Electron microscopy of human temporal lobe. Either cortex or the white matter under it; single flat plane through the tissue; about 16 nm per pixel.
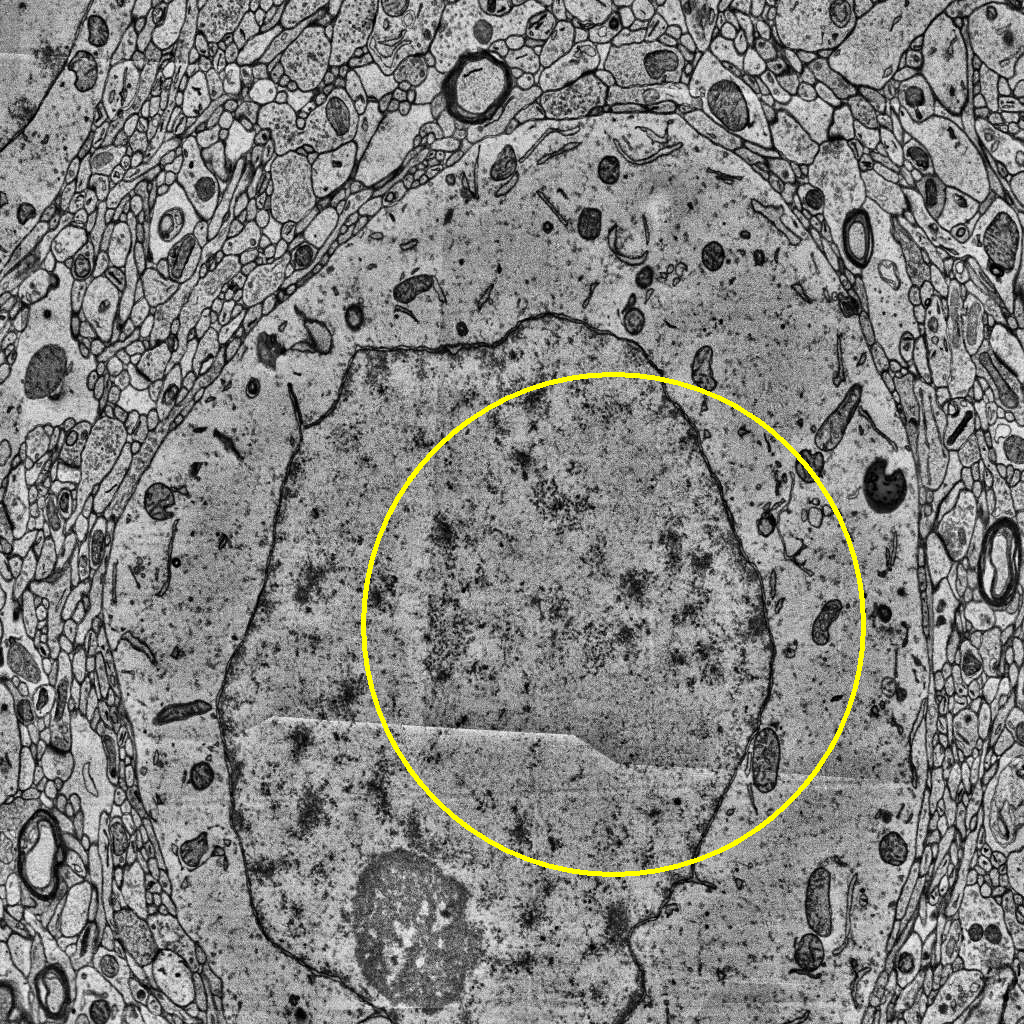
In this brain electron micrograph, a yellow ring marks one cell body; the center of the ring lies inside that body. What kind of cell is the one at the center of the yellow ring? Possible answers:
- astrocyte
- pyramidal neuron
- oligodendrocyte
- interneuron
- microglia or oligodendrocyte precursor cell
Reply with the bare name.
pyramidal neuron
